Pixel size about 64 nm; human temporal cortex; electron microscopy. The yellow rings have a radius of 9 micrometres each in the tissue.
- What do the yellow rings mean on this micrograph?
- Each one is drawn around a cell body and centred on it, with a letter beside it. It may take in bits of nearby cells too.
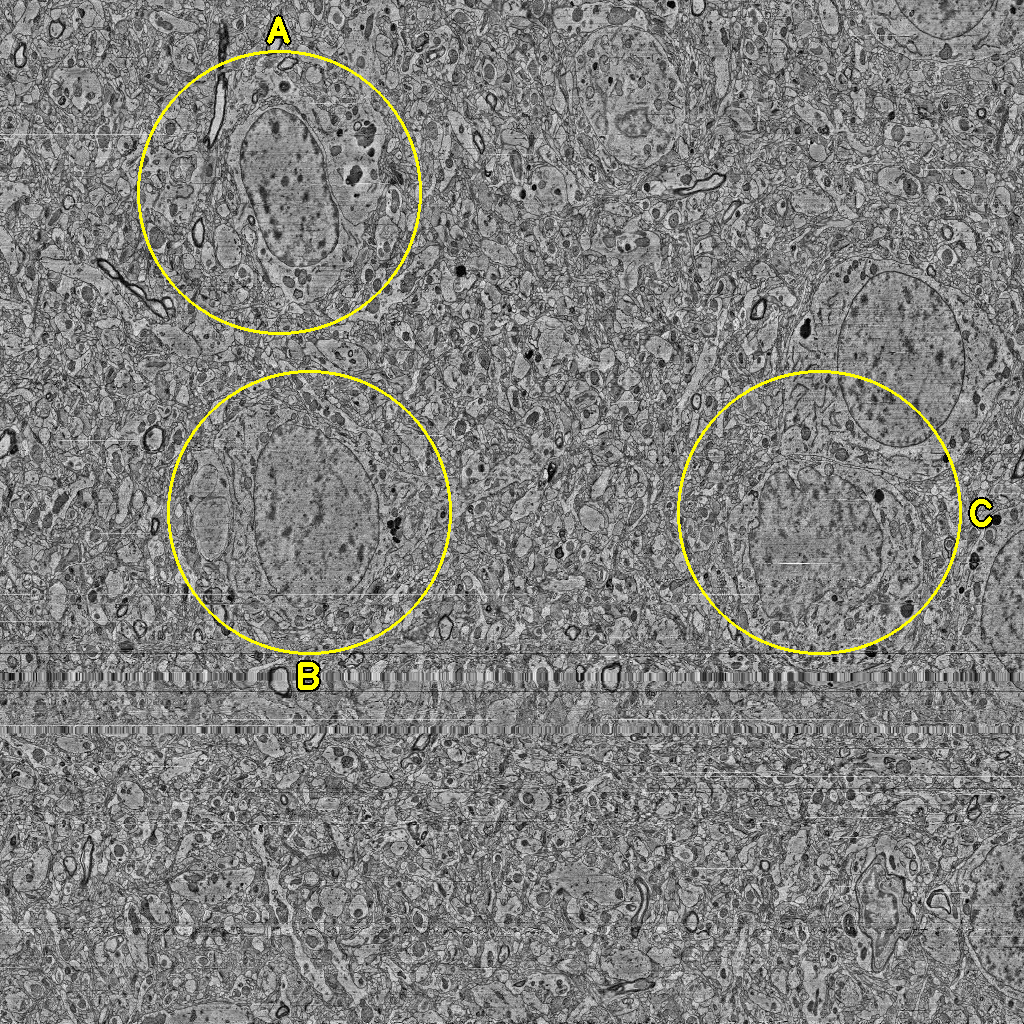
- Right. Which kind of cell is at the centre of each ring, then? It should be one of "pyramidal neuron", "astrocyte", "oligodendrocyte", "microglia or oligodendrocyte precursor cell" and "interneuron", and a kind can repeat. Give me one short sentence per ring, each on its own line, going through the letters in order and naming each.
Ring A circles the cell body of an astrocyte.
Ring B circles the cell body of a pyramidal neuron.
Ring C circles the cell body of an interneuron.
